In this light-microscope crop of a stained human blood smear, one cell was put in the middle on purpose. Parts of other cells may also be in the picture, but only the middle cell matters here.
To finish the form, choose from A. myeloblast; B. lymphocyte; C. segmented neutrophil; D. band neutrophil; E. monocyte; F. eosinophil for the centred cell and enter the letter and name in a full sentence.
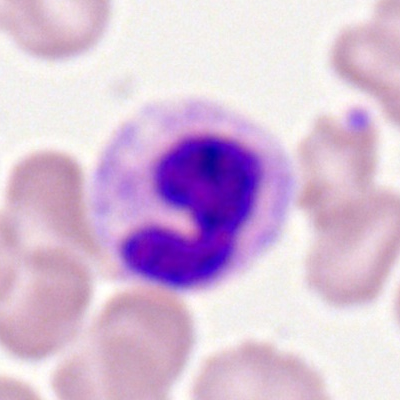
The central cell in this crop is a band neutrophil, corresponding to option D, the correct option.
